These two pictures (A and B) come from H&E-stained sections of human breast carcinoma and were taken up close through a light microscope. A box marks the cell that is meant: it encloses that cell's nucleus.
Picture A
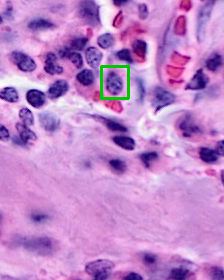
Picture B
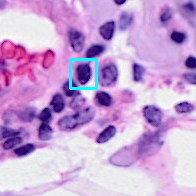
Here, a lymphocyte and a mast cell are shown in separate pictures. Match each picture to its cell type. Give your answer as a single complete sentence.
The cell in picture A is a mast cell, and the one in picture B is a lymphocyte.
